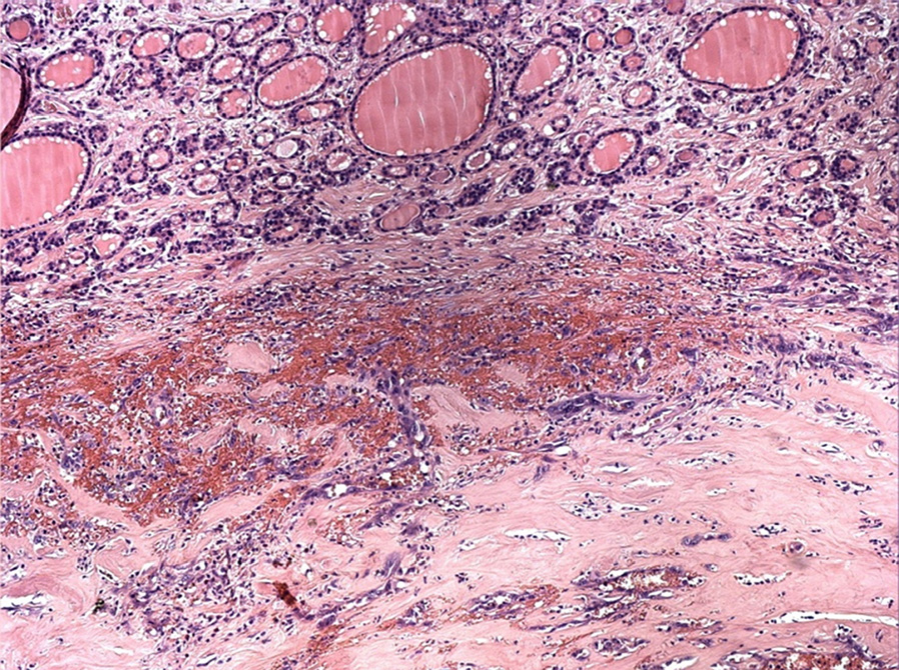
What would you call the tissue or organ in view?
thyroid tissue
